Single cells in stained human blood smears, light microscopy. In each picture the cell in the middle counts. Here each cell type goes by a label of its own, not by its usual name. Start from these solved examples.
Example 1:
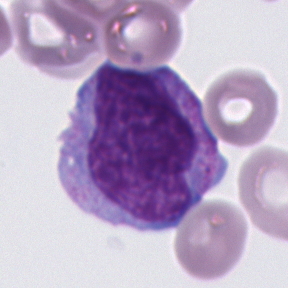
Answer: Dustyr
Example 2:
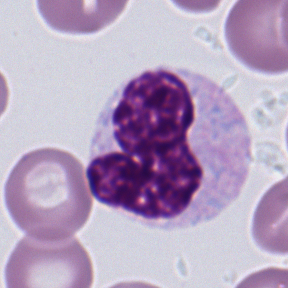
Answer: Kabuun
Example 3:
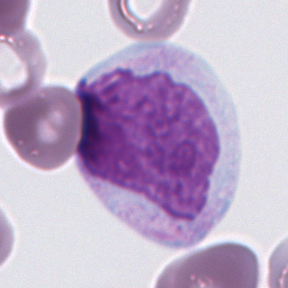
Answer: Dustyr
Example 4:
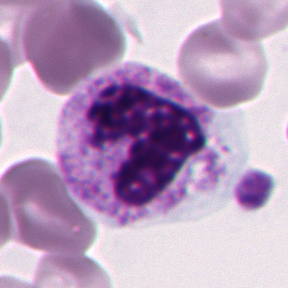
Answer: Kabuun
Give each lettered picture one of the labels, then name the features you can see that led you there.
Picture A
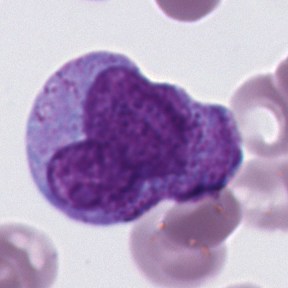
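Dustyr. Reason: The nucleus fills most of the cell, and the widest band of cytoplasm lies on the left side.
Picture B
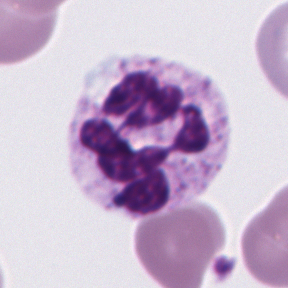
Kabuun. Reason: The nucleus is split into at least five separate lobes.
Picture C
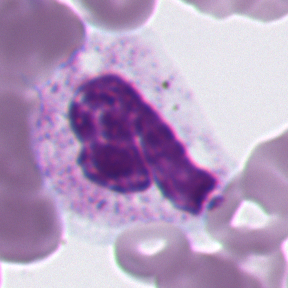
Kabuun. Reason: The cytoplasm is abundant and pale pinkish-lilac.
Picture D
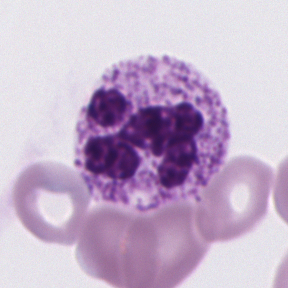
Kabuun. Reason: The cytoplasm is pale pink between the granules.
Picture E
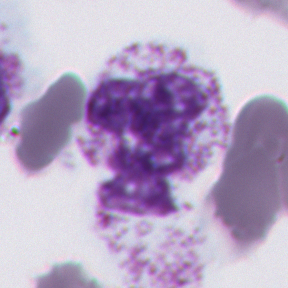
Kabuun. Reason: The cytoplasm is pale and nearly colourless.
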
